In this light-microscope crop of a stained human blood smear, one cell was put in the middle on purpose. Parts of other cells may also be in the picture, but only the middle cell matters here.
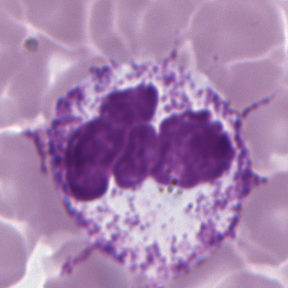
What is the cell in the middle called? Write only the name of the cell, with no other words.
neutrophil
